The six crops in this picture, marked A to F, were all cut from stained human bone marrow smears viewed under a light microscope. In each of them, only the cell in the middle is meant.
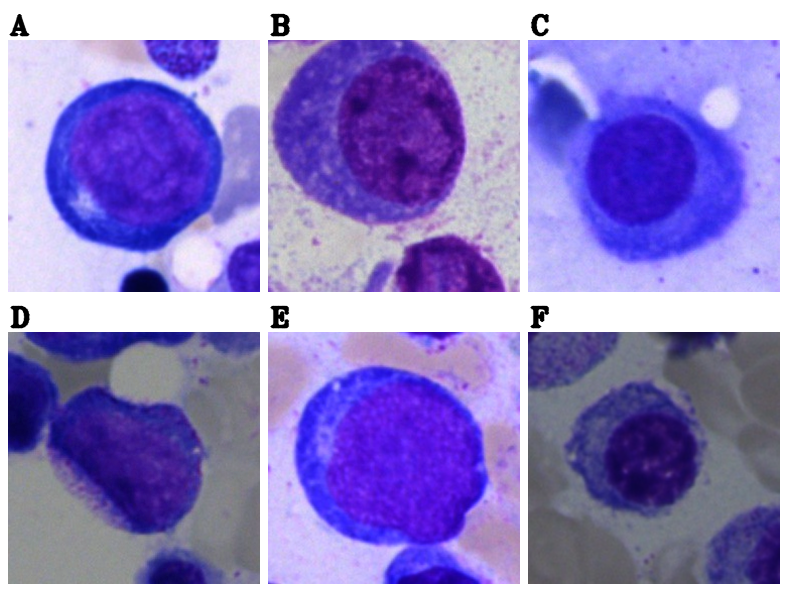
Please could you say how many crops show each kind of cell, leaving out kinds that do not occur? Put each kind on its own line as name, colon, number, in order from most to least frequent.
plasma cell: 3
proerythroblast: 2
promyelocyte: 1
